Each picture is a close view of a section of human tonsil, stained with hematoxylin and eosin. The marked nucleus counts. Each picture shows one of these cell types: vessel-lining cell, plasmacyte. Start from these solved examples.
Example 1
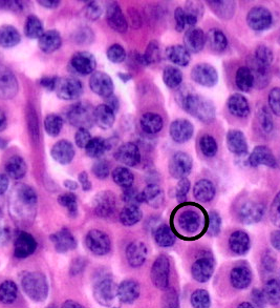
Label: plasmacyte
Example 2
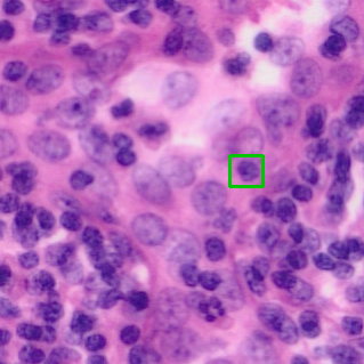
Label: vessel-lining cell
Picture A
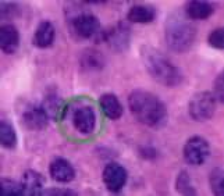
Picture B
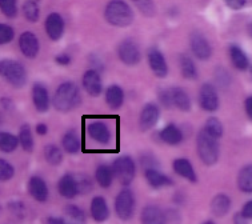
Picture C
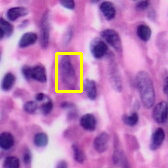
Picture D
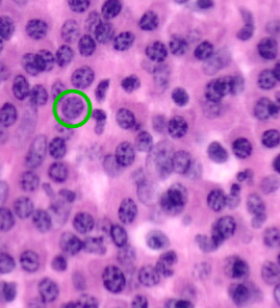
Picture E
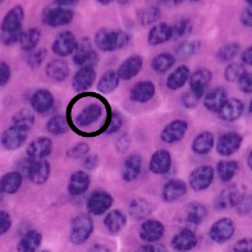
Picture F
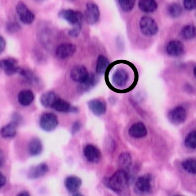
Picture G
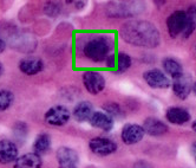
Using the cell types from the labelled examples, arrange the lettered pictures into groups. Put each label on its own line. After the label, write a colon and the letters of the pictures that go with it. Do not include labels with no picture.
vessel-lining cell: C, G
plasmacyte: A, B, D, E, F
